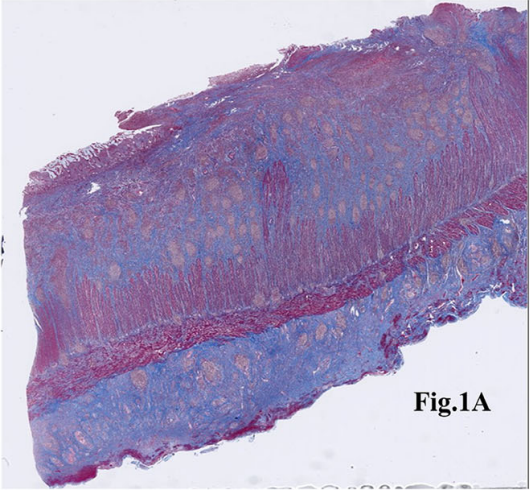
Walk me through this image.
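A broad layer in the upper half is traversed by red-purple tissue with fine parallel striations, giving a streaked appearance. A continuous red-purple muscle band crosses the lower third diagonally. Below it, the outer layer is again dominated by blue with scattered rounded, paler pink-tan nodules; similar pale rounded nodules dot the upper layer. The upper surface is ragged, with a red-pink strip along parts of the edge, and the lower border is irregular and lobulated. Individual cells cannot be resolved at this scale.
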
